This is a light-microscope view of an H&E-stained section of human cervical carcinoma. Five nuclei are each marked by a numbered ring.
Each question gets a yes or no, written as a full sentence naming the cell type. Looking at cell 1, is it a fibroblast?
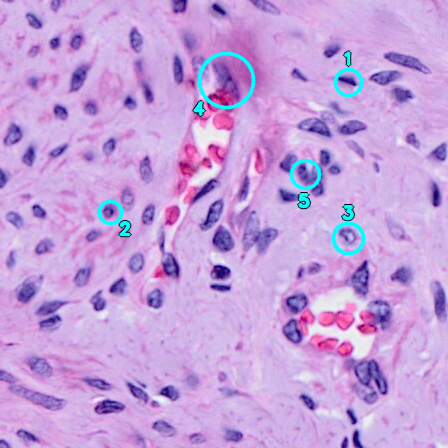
Yes, exactly, the cell numbered 1 is a fibroblast.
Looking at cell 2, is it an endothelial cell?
No, the cell identified by number 2 is a smooth muscle cell, not an endothelial cell.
